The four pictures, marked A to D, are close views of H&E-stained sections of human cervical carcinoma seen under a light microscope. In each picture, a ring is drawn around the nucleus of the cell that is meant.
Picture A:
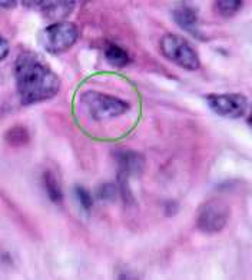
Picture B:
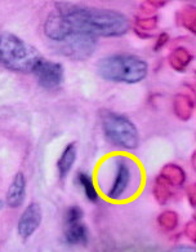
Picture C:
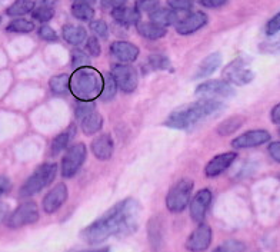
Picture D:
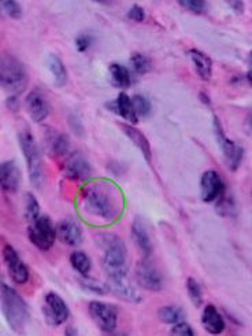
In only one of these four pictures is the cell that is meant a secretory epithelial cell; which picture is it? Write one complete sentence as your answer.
The secretory epithelial cell is the one in picture C.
